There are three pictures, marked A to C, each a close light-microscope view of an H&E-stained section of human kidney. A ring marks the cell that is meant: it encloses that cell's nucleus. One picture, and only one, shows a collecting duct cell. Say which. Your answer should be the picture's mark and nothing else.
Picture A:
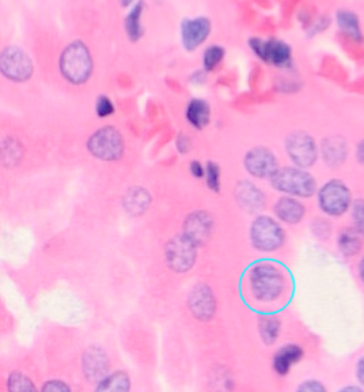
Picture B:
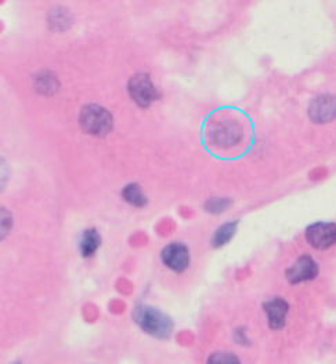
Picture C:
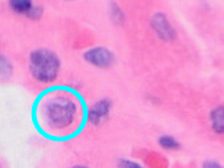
A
